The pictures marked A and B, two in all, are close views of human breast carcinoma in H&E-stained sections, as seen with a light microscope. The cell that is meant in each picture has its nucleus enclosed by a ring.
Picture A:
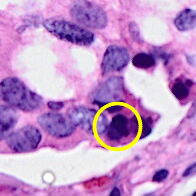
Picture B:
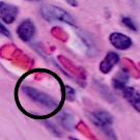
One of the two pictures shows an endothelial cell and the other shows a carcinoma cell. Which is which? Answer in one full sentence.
The cell in picture A is a carcinoma cell, and the one in picture B is an endothelial cell.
